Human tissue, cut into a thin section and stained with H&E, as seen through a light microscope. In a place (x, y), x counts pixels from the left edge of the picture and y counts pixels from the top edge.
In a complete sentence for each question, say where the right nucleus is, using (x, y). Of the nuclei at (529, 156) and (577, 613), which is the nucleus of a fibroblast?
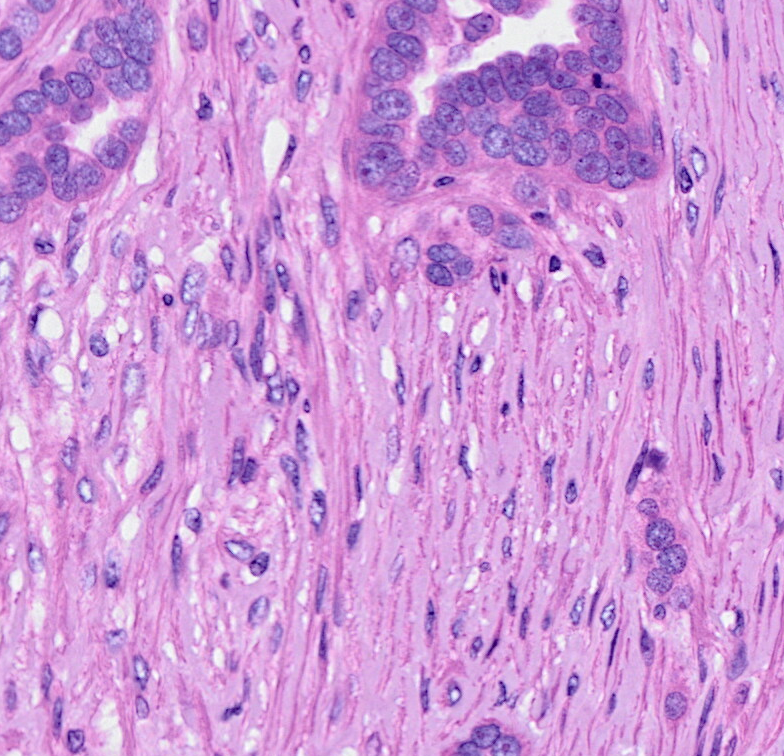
Among the two nuclei, the one found at (577, 613) belongs to a fibroblast.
